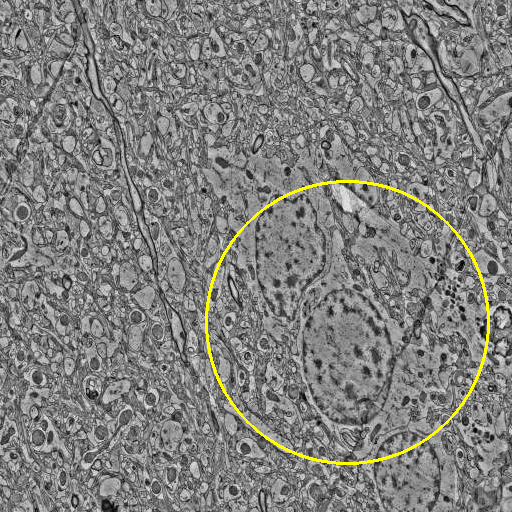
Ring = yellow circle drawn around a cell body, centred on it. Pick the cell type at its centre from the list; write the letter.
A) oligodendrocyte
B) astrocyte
B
